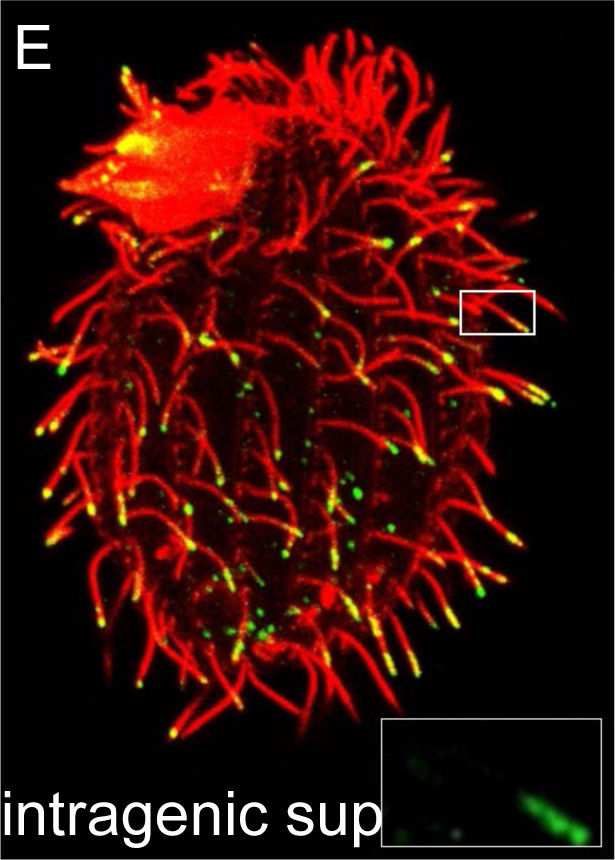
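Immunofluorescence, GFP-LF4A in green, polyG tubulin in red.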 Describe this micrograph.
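A single ciliated cell is seen, densely covered by long red cilia, with a bright tuft of oral cilia at the anterior end. Many cilia end in a small green-yellow spot, so the tips of both the oral and the body cilia are labelled, while their bases and shafts are mostly red. A few isolated green specks lie over the cell body. The inset shows the green label alone along a single cilium, bright at its distal end.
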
